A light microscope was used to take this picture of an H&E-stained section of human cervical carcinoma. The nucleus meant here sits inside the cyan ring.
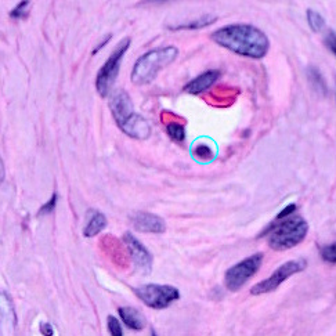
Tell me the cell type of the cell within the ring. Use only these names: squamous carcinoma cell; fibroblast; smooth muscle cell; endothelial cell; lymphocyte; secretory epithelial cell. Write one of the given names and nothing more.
endothelial cell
